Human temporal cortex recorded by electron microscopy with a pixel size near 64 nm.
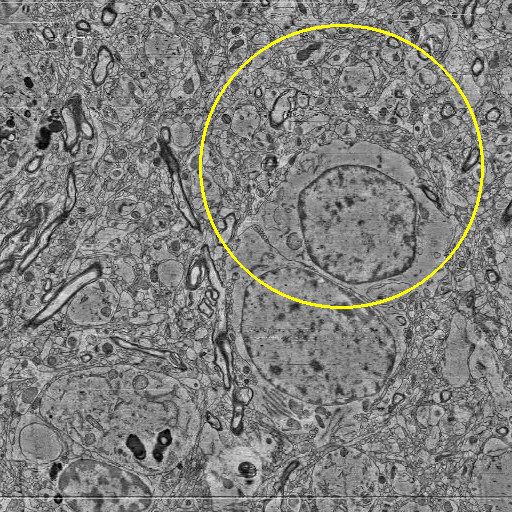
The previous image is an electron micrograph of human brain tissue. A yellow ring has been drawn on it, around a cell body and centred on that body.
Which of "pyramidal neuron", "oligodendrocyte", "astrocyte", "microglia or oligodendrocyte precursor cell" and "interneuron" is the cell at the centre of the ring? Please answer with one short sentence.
The cell body at the centre of the ring belongs to an astrocyte.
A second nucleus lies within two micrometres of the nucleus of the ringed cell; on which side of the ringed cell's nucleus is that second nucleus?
The other nucleus is located to the lower left of it.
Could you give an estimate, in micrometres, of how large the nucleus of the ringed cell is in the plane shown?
About 8 micrometres across, as seen in this plane.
